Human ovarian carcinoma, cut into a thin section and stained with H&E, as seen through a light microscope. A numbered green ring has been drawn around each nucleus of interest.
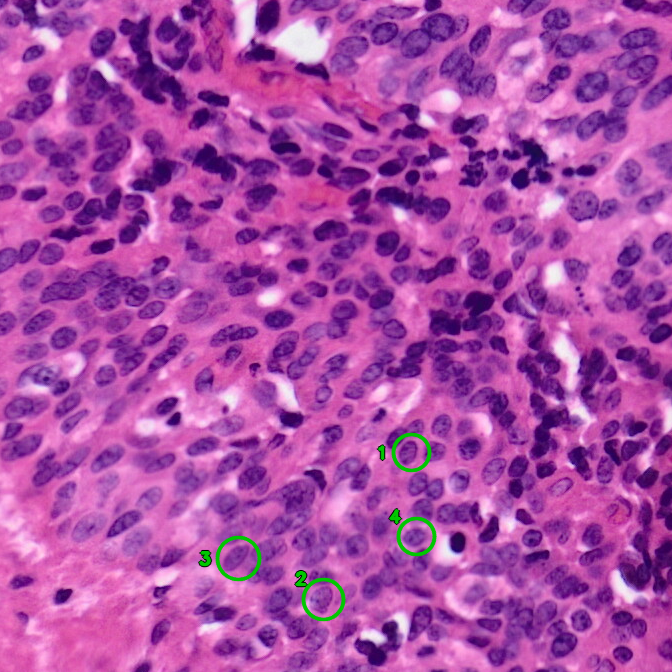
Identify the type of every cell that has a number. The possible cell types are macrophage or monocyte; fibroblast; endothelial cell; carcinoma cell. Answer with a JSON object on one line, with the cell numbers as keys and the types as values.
{"1": "carcinoma cell", "2": "carcinoma cell", "3": "carcinoma cell", "4": "macrophage or monocyte"}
